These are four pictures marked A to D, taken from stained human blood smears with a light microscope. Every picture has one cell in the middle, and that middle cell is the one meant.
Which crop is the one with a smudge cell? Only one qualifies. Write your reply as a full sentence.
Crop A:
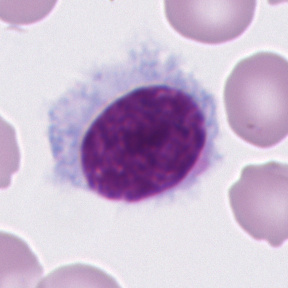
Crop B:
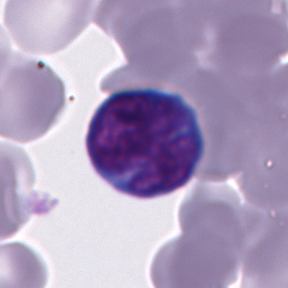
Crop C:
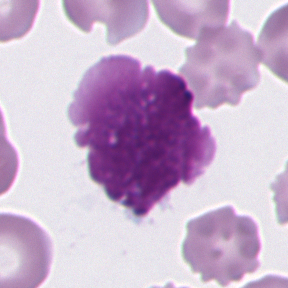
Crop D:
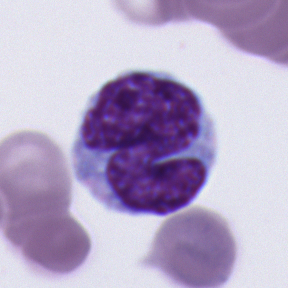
Crop C, and no other, shows a smudge cell.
